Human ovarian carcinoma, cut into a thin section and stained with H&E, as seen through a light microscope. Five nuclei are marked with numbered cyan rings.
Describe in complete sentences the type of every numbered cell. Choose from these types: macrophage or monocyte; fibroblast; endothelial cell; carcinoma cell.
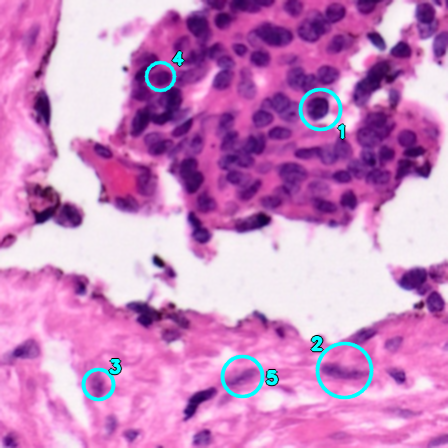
Cell 1 is a carcinoma cell, cell 2 is a fibroblast, cell 3 is a fibroblast, cell 4 is a carcinoma cell and cell 5 is a fibroblast.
